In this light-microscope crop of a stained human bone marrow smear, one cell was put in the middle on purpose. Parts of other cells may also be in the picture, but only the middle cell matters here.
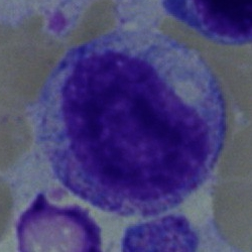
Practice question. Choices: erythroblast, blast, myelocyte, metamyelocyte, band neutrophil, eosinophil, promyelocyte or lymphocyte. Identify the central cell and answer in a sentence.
The cell around which this crop is centred is a myelocyte.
